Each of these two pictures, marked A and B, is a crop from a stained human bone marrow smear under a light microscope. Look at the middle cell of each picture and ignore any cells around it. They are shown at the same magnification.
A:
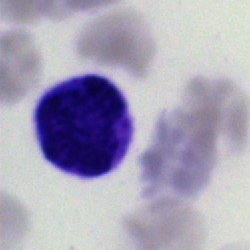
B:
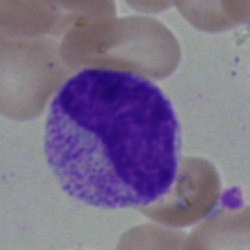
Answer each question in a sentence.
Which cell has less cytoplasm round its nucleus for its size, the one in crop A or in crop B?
Of the two, the nucleus in crop A makes up the greater part of its cell.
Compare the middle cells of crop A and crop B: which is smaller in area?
The cell in crop A is smaller; the one in crop B has about 2 times its area.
